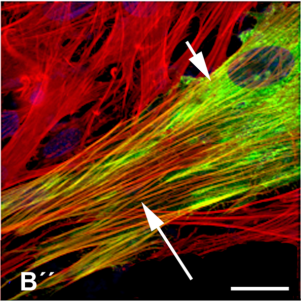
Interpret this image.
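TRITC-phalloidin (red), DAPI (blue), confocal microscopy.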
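Elongated spread cells are crossed by many long, straight red filaments running in parallel along the cells' long axis. In one cell the green label lies along these filaments, so they appear yellow where the colours overlap, and the green also forms a diffuse hazy cloud in the cytoplasm around an oval nucleus near the top, which is faintly blue. Neighbouring cells show red filaments only.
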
